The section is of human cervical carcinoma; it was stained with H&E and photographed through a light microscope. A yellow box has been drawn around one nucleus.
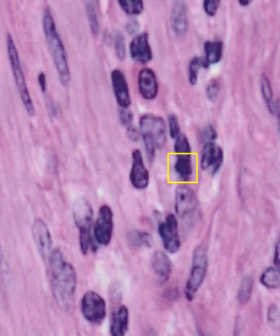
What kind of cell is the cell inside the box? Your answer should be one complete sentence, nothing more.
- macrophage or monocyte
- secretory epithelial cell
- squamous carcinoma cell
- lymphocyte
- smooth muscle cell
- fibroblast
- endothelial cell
Speaking plainly, the cell inside the box is nothing other than a lymphocyte.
